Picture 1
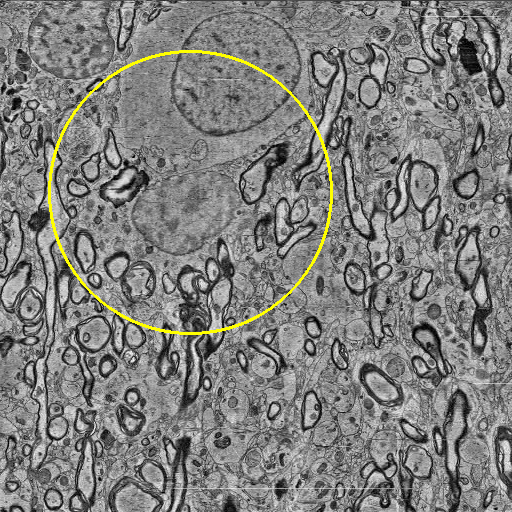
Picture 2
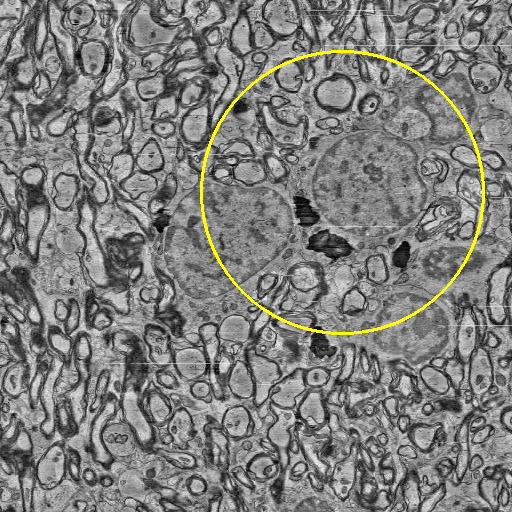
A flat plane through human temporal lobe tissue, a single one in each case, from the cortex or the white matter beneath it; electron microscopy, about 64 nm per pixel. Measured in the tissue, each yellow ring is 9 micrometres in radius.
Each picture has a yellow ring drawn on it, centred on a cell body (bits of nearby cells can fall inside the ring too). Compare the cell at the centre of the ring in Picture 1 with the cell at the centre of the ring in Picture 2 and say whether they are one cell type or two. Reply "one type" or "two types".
one type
